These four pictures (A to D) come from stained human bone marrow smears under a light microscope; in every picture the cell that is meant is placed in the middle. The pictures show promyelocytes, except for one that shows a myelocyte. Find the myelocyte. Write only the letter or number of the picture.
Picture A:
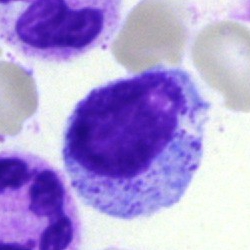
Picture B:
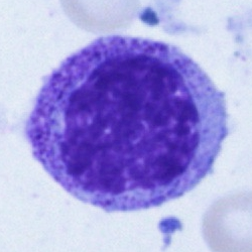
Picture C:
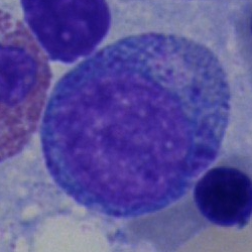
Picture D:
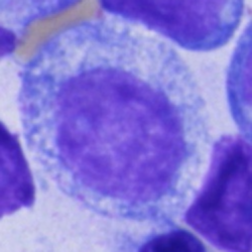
A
